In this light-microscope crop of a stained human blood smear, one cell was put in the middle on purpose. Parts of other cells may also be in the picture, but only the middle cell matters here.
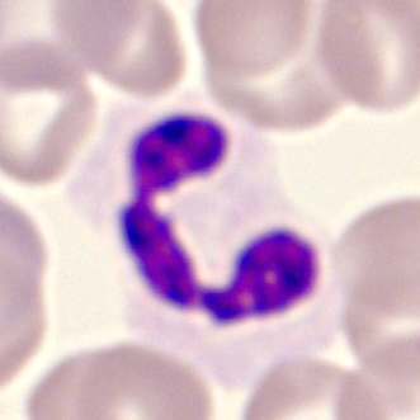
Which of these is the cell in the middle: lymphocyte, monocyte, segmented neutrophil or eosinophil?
segmented neutrophil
